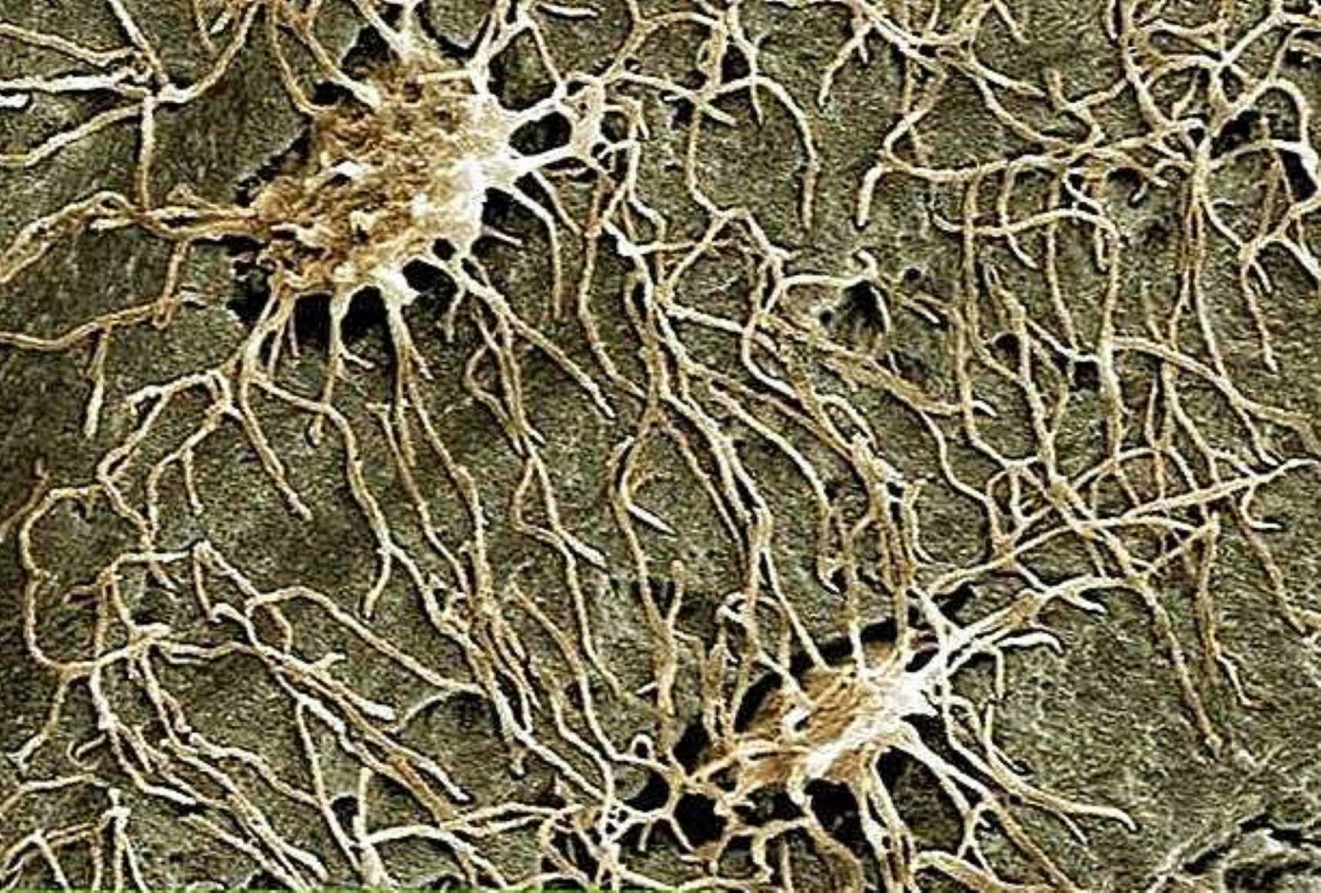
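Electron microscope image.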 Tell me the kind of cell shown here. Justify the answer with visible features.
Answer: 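Two cell bodies lie on a flat, finely textured surface. Many long, slender, branching processes radiate from each cell body. The processes of the two cells interweave into a dense network.
Answer: osteocytes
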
